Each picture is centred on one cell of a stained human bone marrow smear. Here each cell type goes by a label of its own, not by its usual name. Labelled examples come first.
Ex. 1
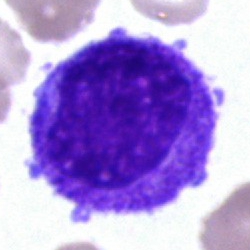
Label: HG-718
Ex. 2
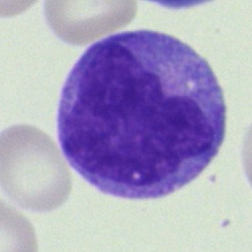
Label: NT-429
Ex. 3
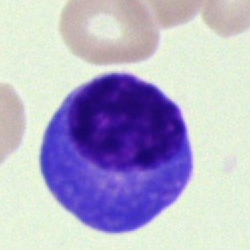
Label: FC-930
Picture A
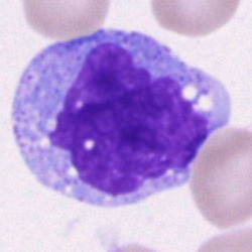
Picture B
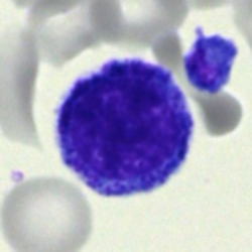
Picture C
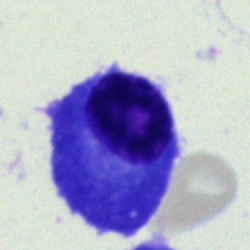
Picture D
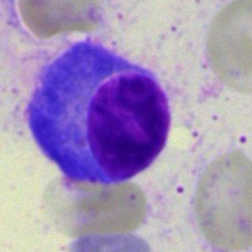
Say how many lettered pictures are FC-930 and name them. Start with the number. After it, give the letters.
2: C, D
